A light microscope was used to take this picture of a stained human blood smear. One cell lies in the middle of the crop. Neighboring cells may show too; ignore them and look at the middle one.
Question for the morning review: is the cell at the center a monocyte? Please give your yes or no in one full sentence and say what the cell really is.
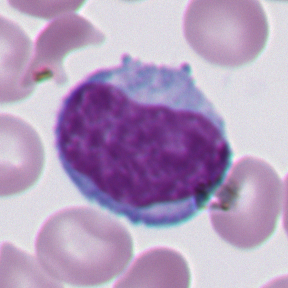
Yes, the central cell here is a monocyte.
